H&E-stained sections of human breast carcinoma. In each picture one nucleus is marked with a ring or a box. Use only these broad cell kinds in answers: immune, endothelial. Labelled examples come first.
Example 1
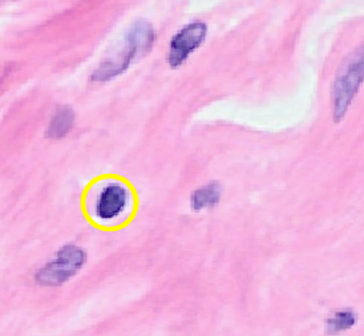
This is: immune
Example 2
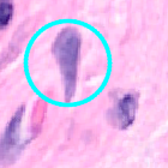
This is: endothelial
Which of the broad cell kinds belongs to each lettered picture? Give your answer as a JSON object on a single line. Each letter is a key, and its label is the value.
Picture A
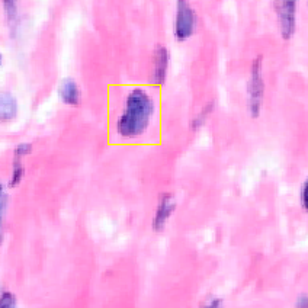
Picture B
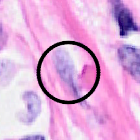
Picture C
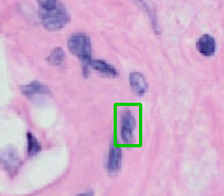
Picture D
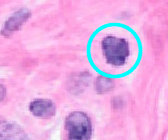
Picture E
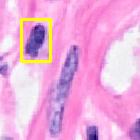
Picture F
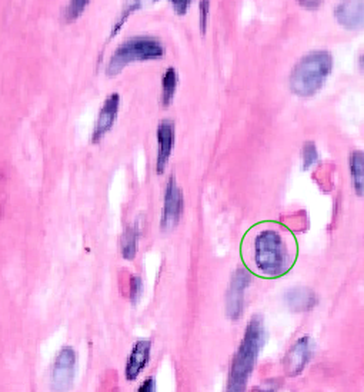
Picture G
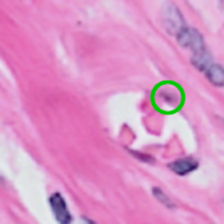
{"A": "immune", "B": "endothelial", "C": "endothelial", "D": "immune", "E": "immune", "F": "endothelial", "G": "endothelial"}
